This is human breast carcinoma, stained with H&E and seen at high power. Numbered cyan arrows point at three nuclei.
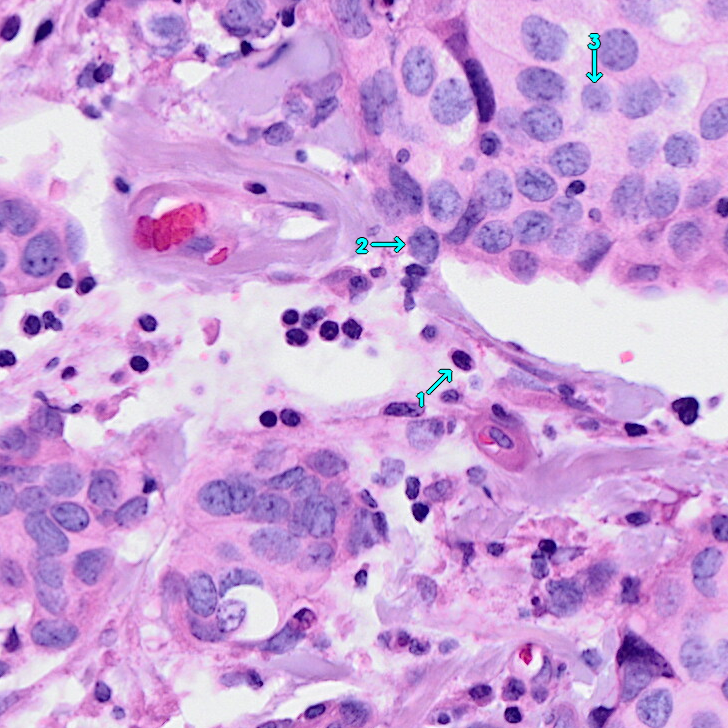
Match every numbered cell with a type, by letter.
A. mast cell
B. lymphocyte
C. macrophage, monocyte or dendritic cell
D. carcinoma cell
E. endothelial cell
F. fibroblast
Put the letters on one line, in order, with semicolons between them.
B; D; D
